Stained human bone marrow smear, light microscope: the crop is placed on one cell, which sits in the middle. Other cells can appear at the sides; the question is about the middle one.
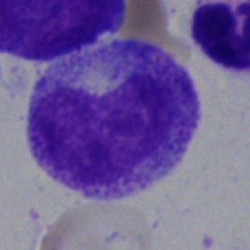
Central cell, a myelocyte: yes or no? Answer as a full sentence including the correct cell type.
Yes, the centred cell is categorised as a myelocyte.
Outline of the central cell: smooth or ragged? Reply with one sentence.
Smooth all around, the outline has no projections to report.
